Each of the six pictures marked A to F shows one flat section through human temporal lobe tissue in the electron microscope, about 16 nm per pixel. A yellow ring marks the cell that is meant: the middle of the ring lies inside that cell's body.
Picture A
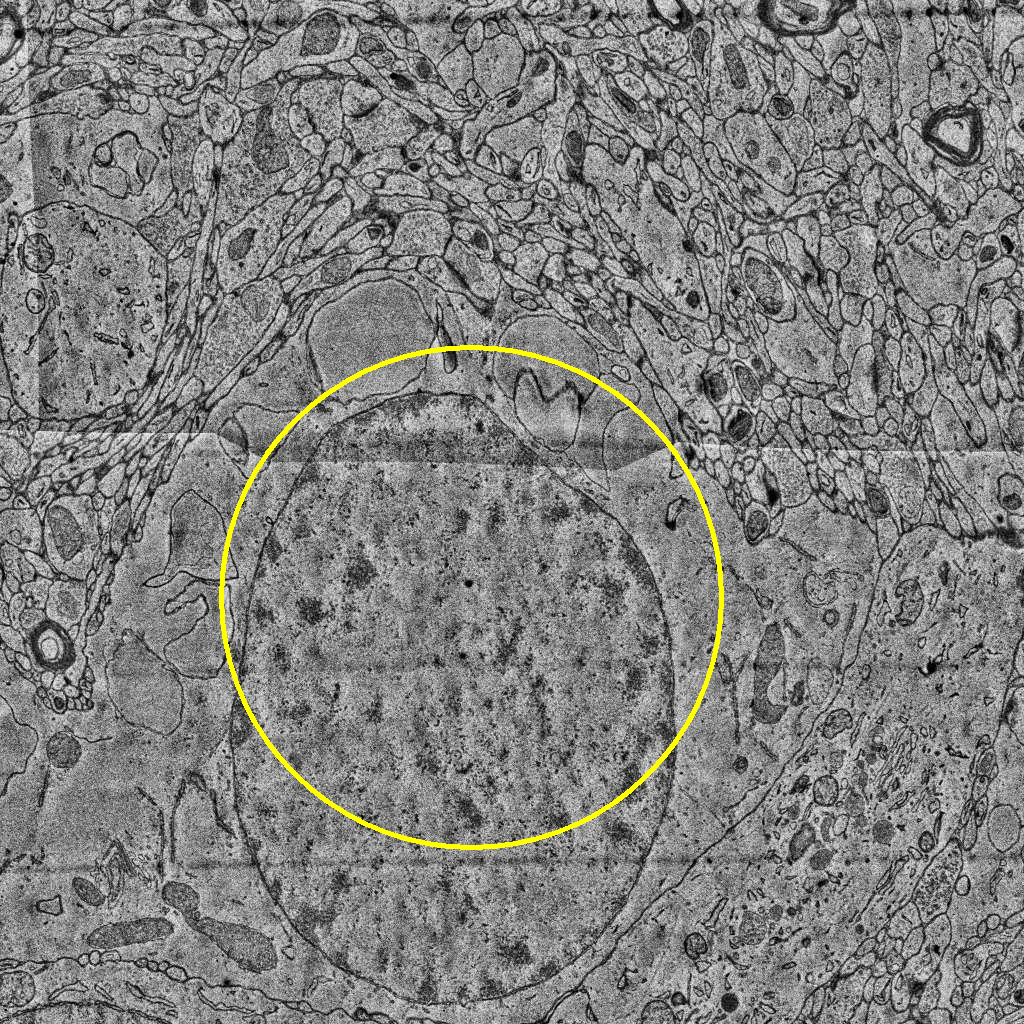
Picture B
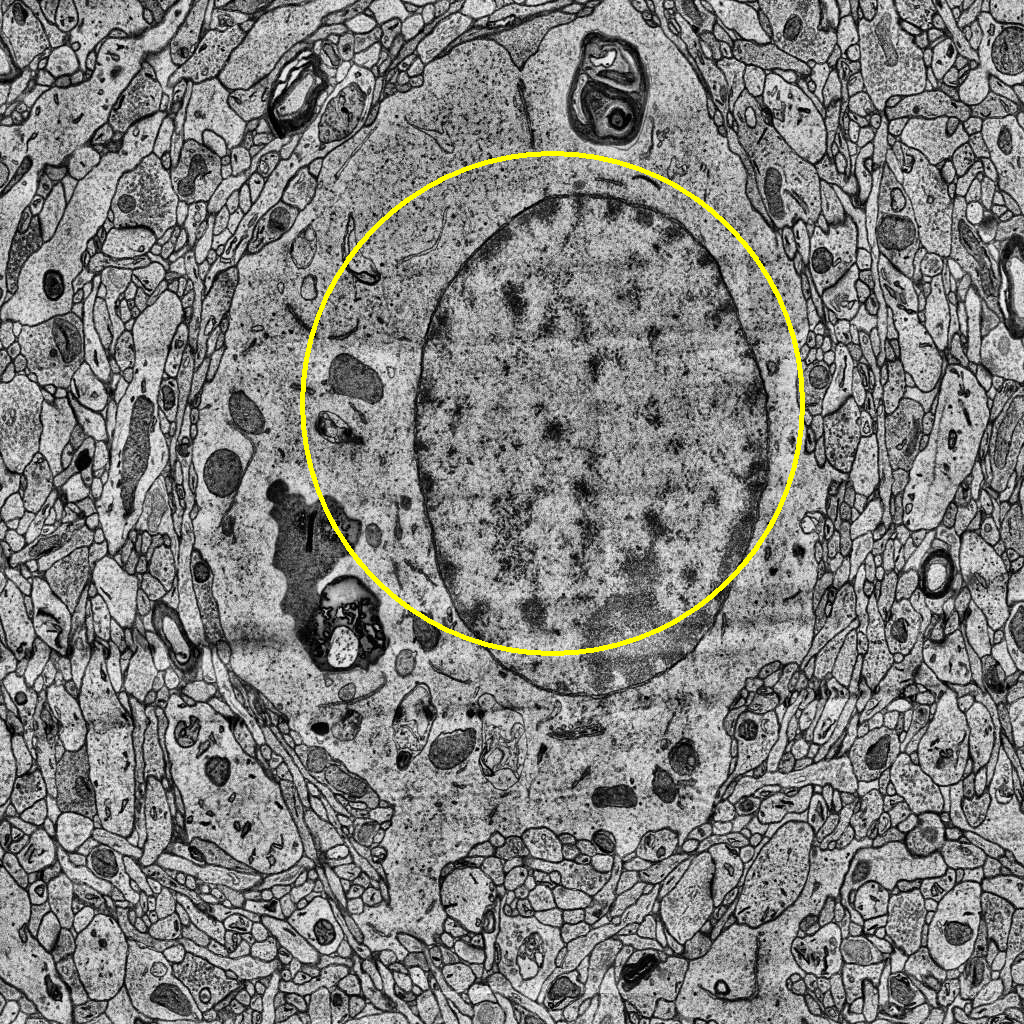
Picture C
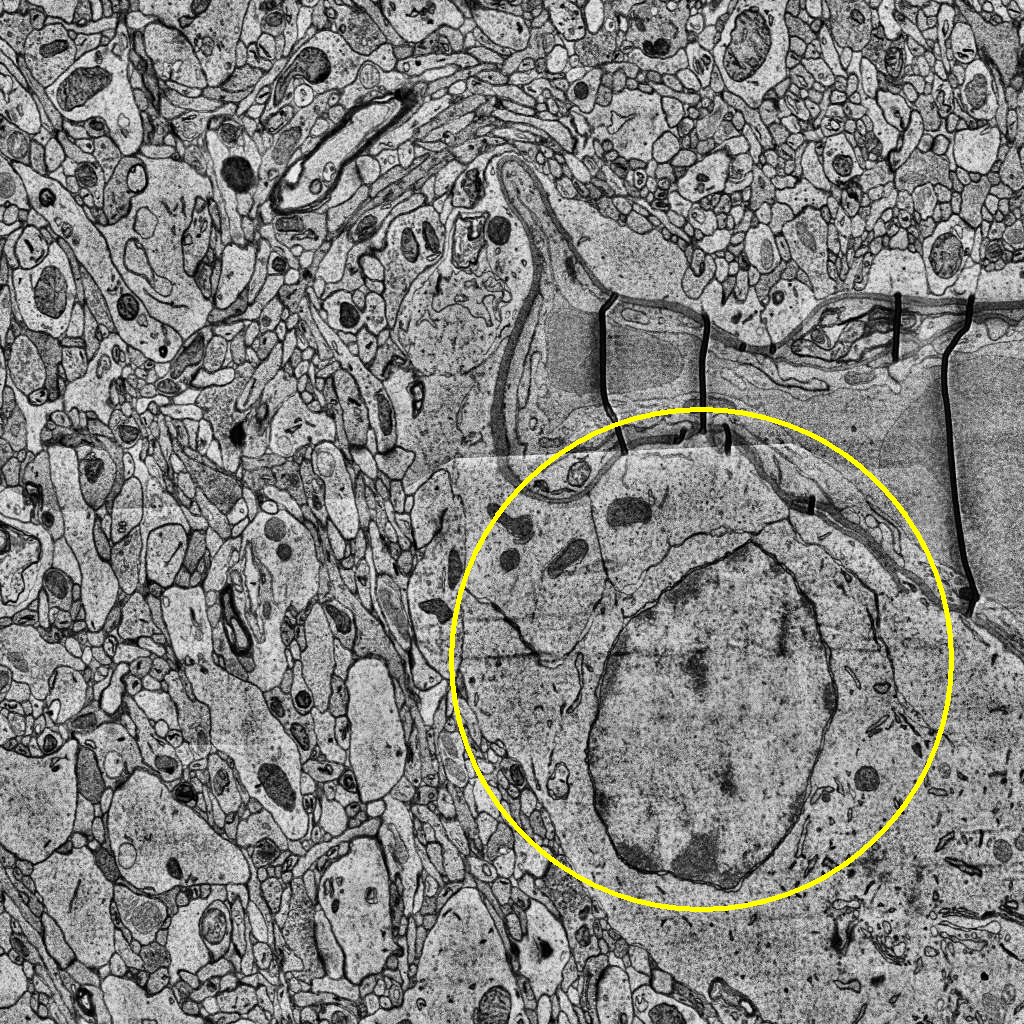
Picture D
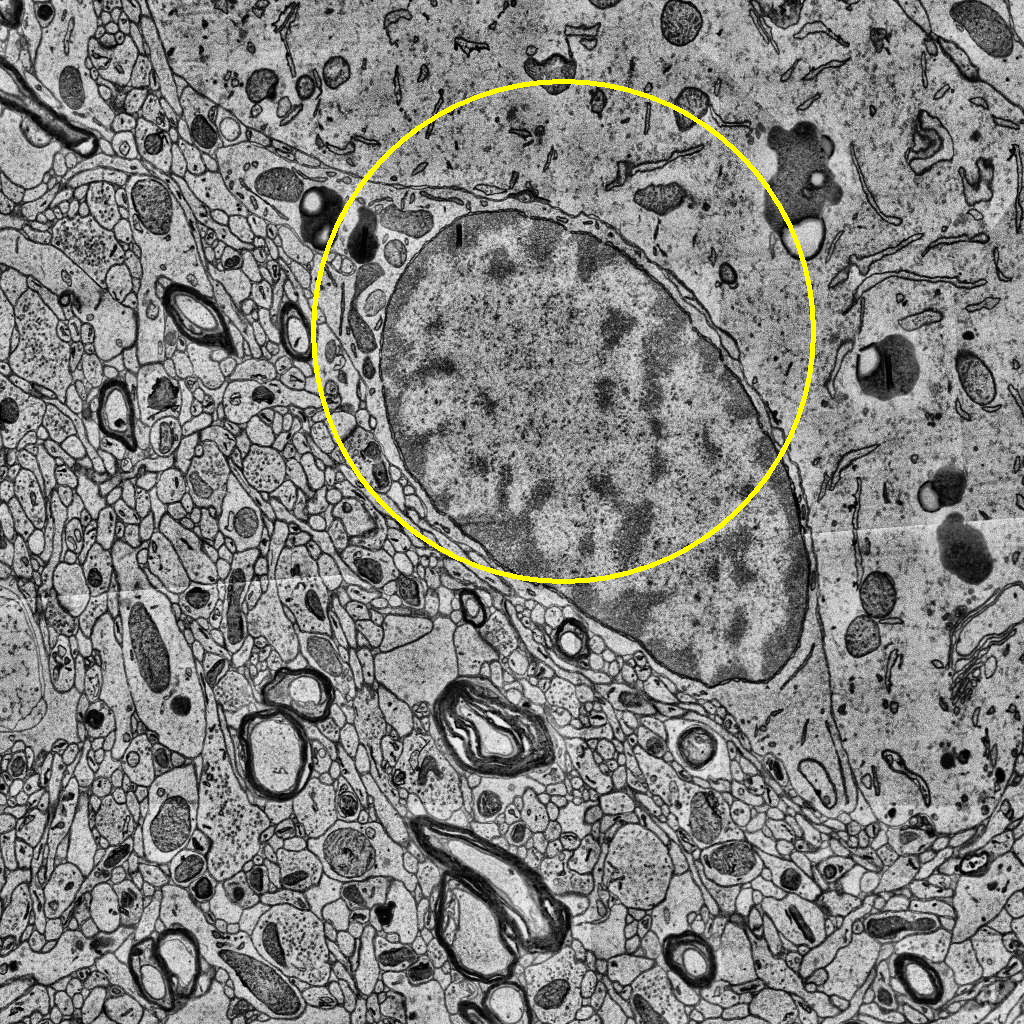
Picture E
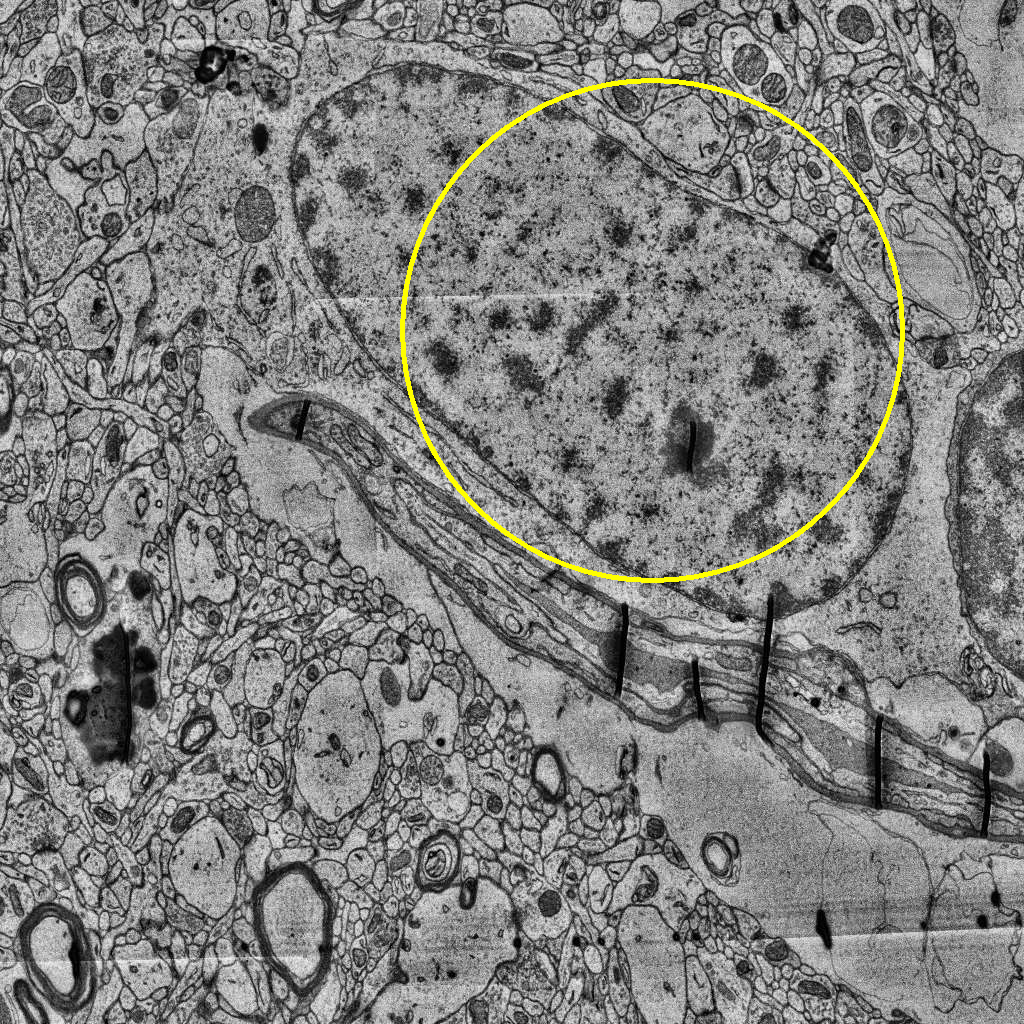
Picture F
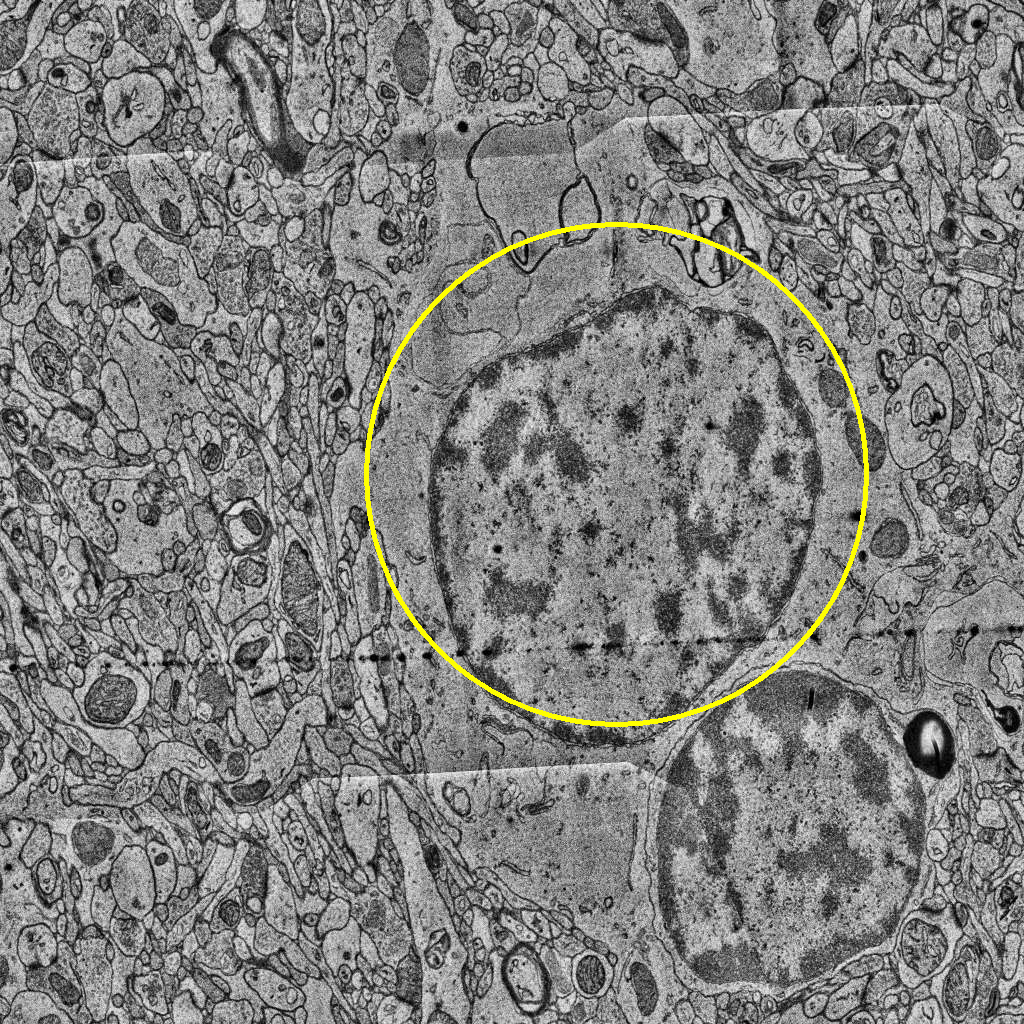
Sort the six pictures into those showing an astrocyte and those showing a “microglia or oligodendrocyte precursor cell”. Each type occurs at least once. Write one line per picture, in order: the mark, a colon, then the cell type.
A: astrocyte
B: astrocyte
C: microglia or oligodendrocyte precursor cell
D: microglia or oligodendrocyte precursor cell
E: microglia or oligodendrocyte precursor cell
F: astrocyte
